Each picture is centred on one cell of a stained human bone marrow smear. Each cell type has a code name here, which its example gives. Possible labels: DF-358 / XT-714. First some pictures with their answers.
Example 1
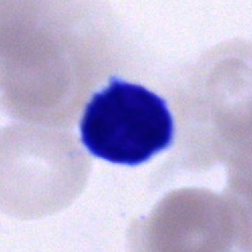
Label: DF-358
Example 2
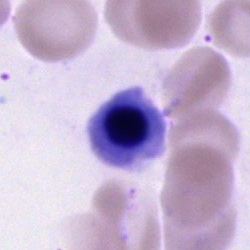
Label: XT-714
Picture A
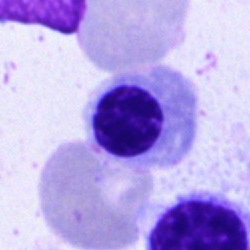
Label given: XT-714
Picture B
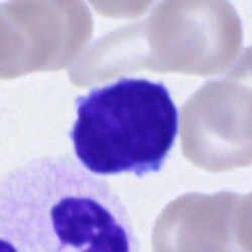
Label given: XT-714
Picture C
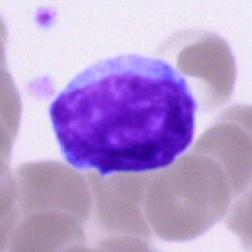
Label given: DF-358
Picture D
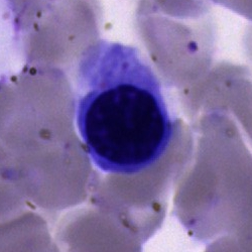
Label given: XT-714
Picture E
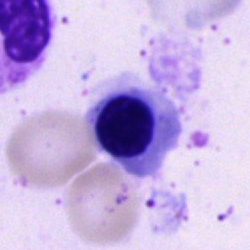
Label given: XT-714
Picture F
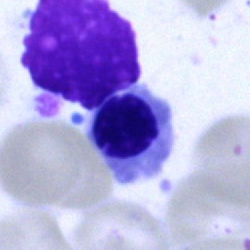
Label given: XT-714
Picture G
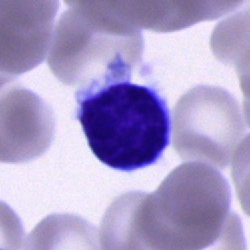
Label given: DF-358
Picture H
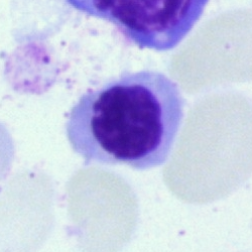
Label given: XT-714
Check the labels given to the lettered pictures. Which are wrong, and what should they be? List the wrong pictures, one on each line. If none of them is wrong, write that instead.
B: change XT-714 to DF-358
